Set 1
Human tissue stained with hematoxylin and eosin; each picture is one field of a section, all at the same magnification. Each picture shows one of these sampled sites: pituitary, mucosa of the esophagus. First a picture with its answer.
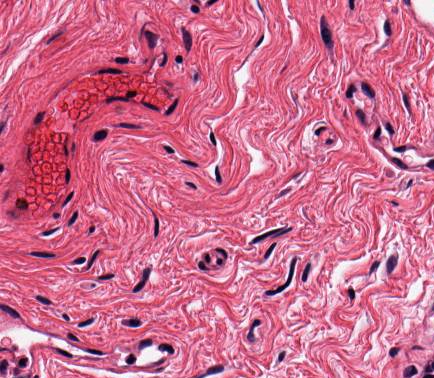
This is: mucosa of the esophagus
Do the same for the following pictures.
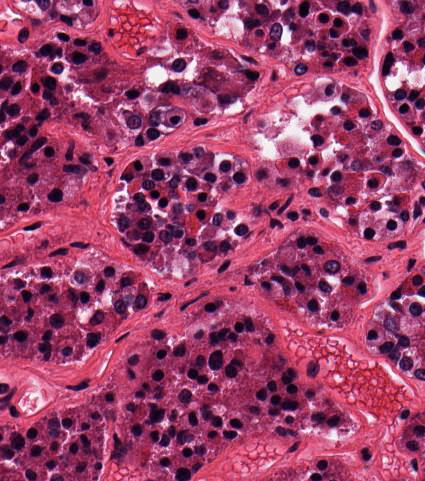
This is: pituitary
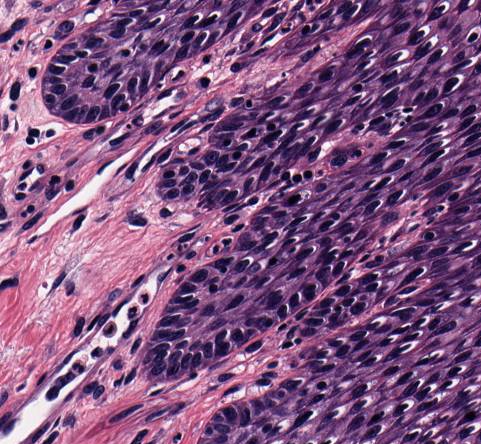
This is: mucosa of the esophagus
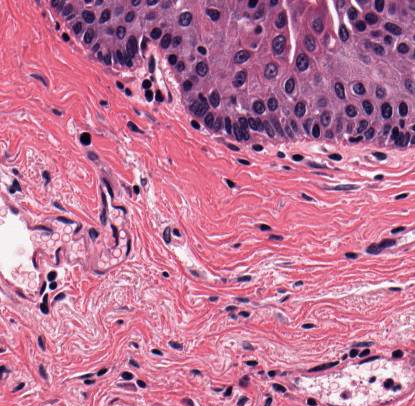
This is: mucosa of the esophagus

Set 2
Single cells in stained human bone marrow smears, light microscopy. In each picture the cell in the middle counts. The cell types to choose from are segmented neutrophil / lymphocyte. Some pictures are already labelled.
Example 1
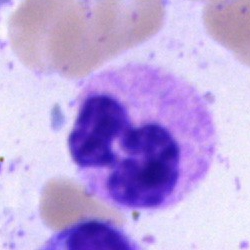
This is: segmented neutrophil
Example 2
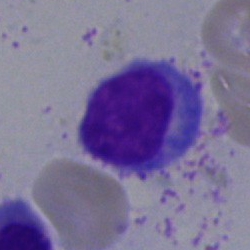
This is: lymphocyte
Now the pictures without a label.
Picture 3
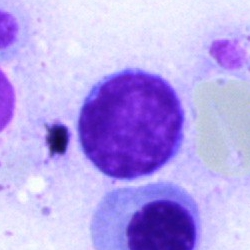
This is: lymphocyte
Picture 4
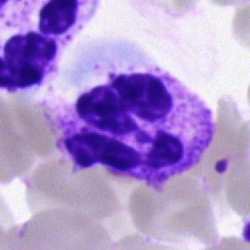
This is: segmented neutrophil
